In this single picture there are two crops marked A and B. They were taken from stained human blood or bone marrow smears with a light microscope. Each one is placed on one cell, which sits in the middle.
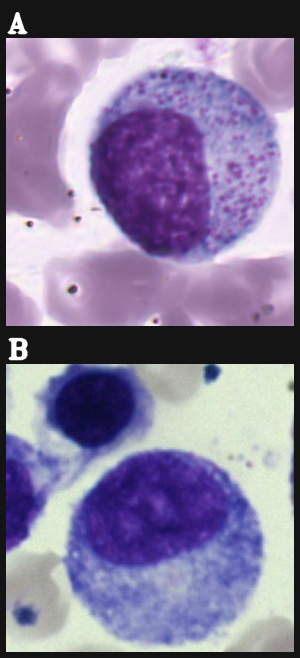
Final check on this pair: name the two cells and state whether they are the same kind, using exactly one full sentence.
Yes, both crops show promyelocytes at their middles.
